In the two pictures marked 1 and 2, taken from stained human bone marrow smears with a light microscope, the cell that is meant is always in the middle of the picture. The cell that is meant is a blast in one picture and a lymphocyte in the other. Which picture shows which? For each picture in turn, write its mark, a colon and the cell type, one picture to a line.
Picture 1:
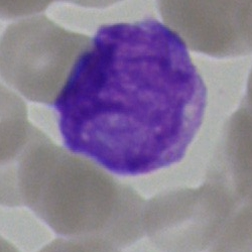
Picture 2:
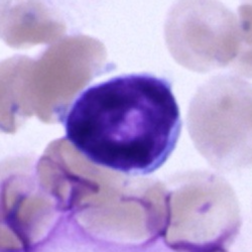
1: blast
2: lymphocyte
